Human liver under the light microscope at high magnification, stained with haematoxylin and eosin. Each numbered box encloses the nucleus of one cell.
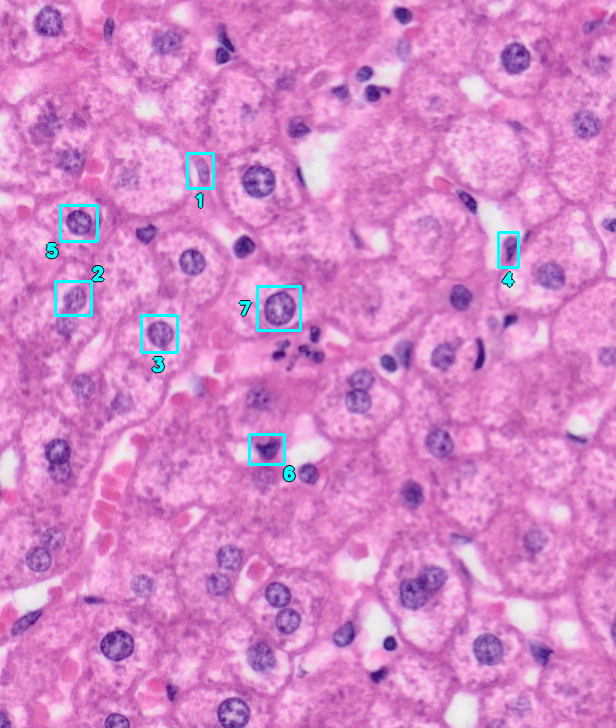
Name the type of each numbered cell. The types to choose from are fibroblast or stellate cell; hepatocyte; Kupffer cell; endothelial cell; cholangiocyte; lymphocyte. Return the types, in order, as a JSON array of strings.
["Kupffer cell", "hepatocyte", "hepatocyte", "Kupffer cell", "hepatocyte", "fibroblast or stellate cell", "hepatocyte"]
